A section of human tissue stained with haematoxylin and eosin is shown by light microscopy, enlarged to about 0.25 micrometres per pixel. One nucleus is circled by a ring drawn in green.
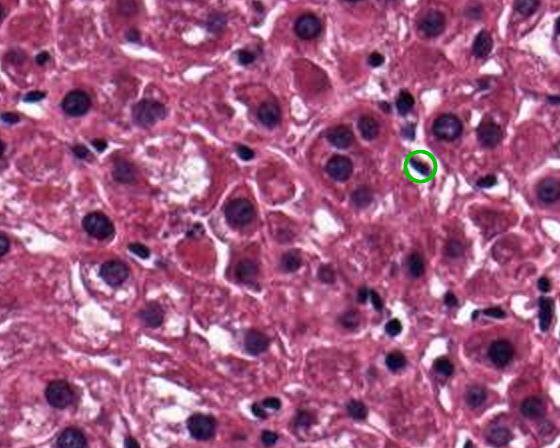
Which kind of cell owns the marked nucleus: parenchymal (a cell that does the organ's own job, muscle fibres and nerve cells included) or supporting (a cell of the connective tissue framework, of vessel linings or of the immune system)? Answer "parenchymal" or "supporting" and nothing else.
supporting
